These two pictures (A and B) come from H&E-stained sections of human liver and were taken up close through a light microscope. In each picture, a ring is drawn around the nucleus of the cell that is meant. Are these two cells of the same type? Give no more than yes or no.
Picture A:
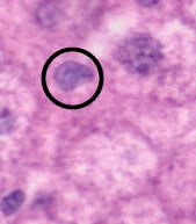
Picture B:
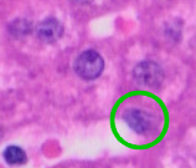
yes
